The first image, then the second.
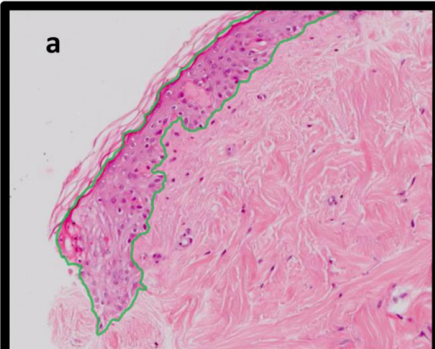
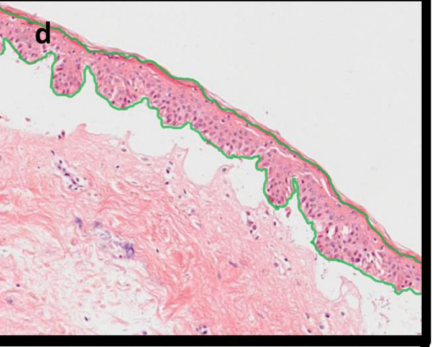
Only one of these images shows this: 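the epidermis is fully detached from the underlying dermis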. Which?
The second image.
